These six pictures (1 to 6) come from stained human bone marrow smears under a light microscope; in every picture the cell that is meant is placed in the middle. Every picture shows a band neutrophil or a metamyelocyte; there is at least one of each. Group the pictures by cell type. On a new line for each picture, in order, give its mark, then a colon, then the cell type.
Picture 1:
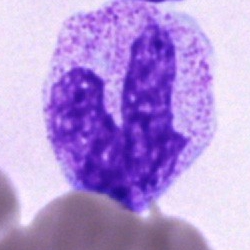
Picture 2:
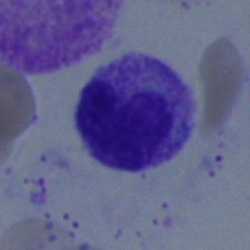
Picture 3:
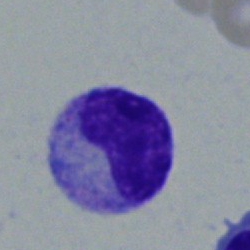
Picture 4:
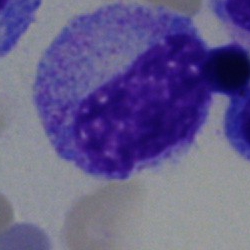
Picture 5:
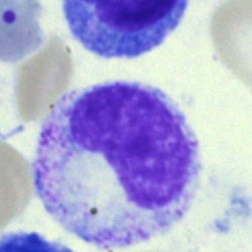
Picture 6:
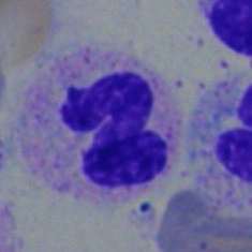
1: band neutrophil
2: metamyelocyte
3: metamyelocyte
4: metamyelocyte
5: metamyelocyte
6: band neutrophil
